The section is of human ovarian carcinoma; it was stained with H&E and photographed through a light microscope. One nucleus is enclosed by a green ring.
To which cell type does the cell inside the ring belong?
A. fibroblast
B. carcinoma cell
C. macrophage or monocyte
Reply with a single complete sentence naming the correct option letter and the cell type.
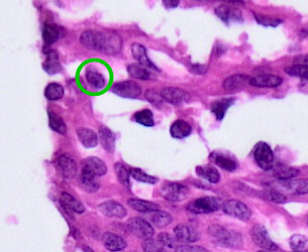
It is as option B has it, the cell inside the ring being a carcinoma cell.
